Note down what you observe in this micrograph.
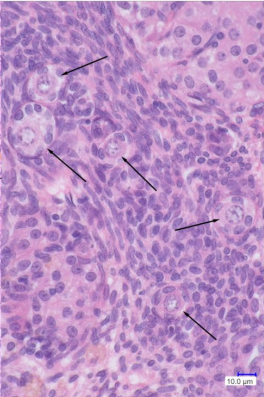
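In densely packed, purple-staining ovarian stroma, several small round structures stand out. Each has a central cell with a large pale round nucleus and pink cytoplasm, ringed by a single layer of flat to cuboidal cells. These are small early follicles, primordial and primary, scattered through the stroma.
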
